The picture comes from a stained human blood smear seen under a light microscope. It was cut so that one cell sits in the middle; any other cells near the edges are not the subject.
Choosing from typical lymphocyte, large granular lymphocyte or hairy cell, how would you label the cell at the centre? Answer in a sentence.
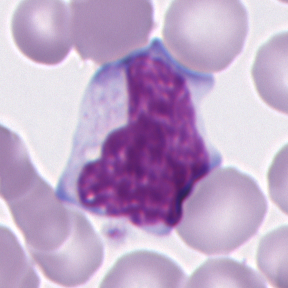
The middle of this crop is occupied by a large granular lymphocyte.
